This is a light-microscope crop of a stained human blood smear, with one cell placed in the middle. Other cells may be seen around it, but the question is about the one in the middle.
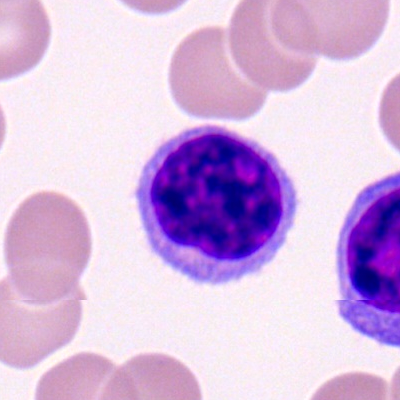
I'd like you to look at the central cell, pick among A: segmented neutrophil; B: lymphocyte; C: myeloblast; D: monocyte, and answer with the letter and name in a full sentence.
The central cell is a lymphocyte, which makes option B the right answer.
